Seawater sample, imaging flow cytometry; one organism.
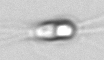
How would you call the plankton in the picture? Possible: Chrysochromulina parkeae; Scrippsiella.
I would call it Chrysochromulina parkeae.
